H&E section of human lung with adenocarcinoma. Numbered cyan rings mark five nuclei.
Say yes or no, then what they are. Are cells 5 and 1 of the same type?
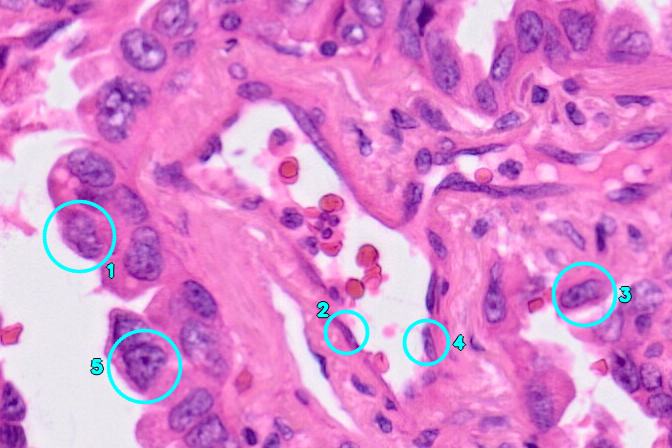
Yes, cells 5 and 1 are both termed carcinoma cells.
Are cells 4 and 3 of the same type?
No, cell 4 is an endothelial cell, whereas cell 3, for its part, is a carcinoma cell.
